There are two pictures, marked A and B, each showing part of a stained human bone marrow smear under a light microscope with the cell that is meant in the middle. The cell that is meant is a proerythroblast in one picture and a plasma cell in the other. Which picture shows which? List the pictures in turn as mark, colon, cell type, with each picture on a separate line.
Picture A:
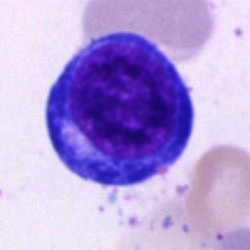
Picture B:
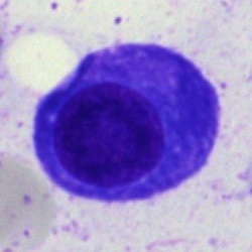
A: proerythroblast
B: plasma cell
